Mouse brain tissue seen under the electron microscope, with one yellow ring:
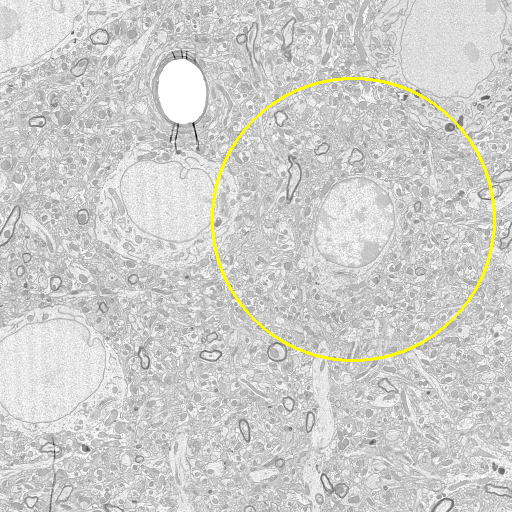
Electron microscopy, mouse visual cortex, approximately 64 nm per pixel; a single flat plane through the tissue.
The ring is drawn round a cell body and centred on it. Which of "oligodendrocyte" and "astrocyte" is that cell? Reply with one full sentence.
The picture shows an oligodendrocyte at the very centre of the yellow ring.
